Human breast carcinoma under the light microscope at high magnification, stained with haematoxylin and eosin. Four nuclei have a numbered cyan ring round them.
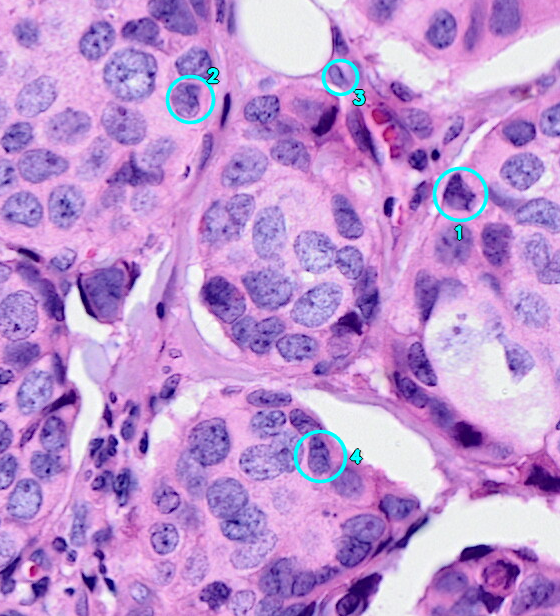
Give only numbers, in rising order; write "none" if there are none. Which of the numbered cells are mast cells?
none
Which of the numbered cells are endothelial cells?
3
